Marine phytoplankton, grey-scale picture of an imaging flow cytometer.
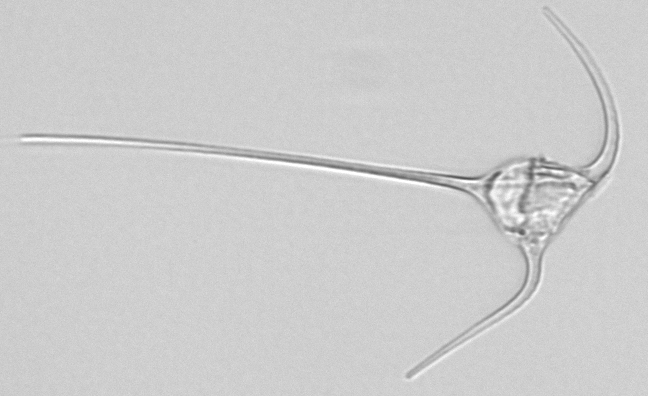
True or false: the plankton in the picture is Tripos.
True.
